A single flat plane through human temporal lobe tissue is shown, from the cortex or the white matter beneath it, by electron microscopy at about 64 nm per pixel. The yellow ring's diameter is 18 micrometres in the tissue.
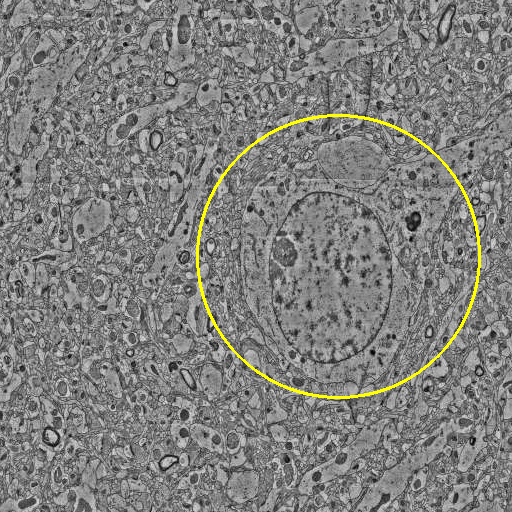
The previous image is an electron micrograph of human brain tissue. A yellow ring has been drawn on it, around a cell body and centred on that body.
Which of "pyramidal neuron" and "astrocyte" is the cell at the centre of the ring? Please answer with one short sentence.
The cell body at the centre of the ring belongs to a pyramidal neuron.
